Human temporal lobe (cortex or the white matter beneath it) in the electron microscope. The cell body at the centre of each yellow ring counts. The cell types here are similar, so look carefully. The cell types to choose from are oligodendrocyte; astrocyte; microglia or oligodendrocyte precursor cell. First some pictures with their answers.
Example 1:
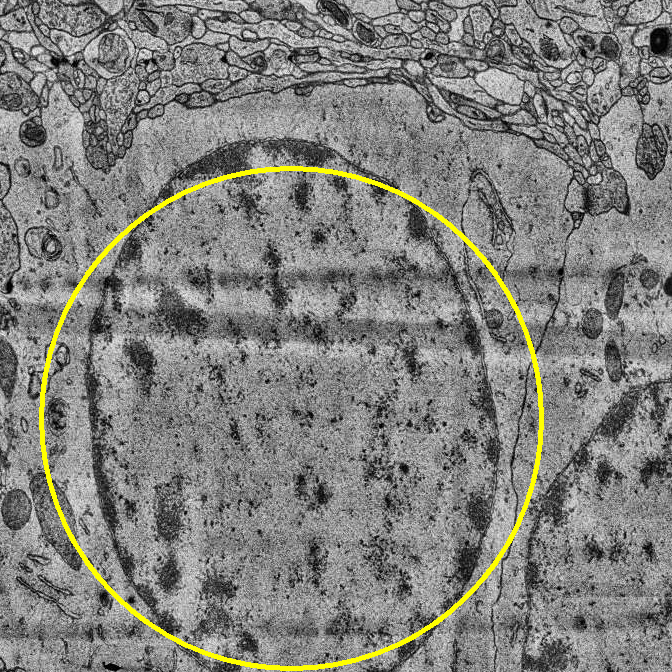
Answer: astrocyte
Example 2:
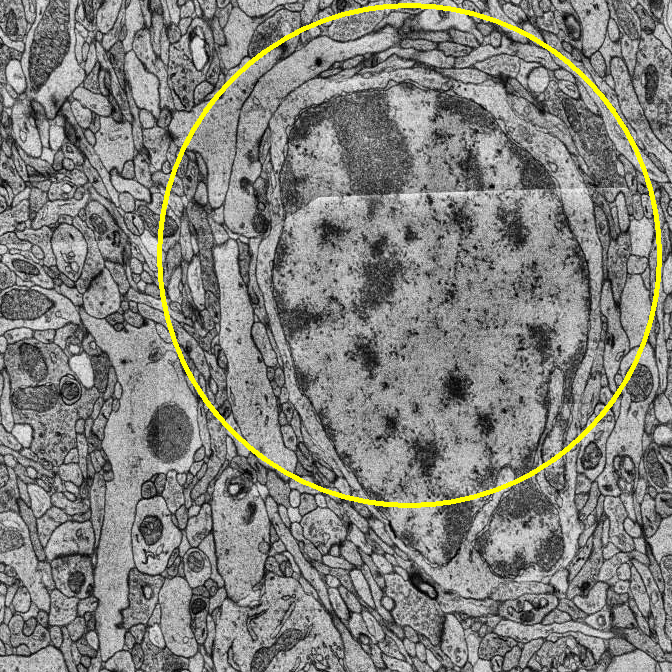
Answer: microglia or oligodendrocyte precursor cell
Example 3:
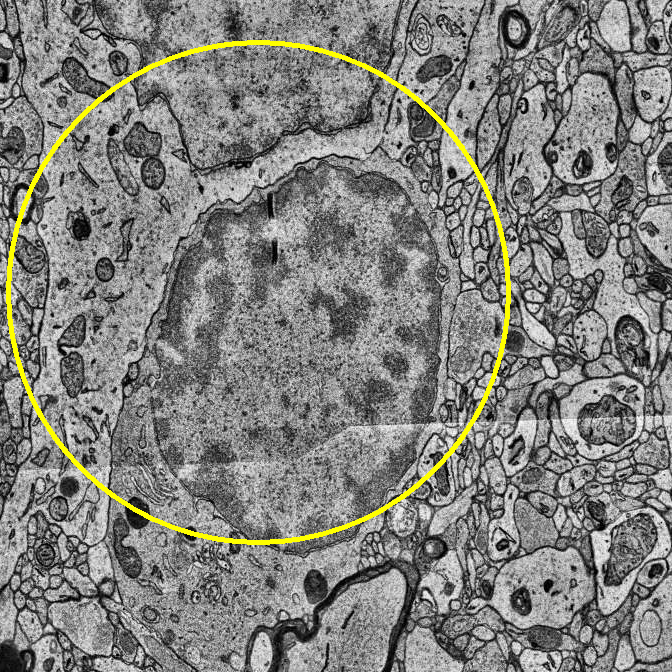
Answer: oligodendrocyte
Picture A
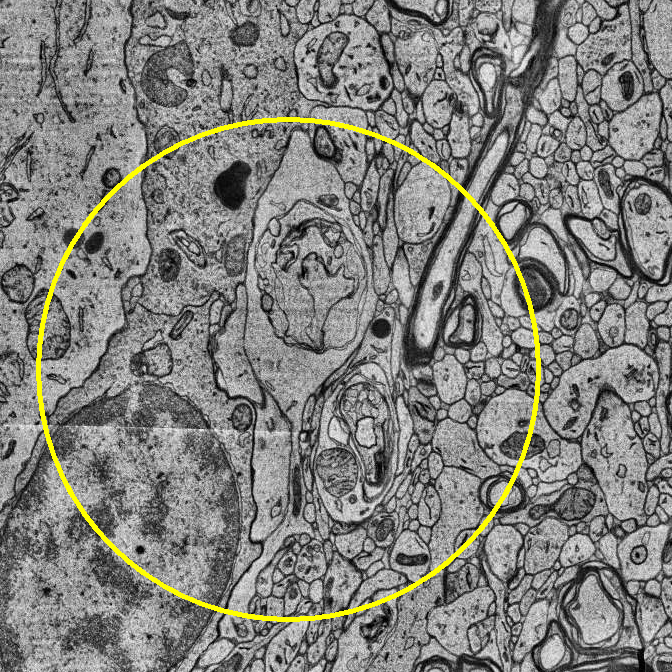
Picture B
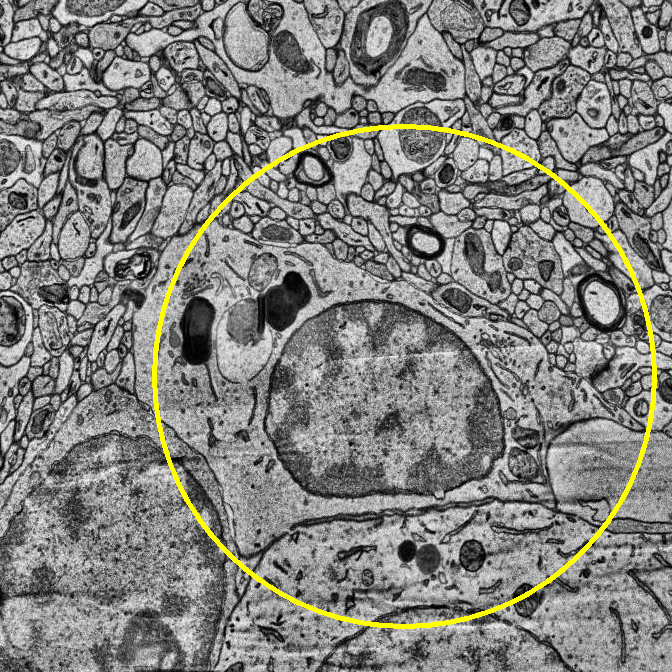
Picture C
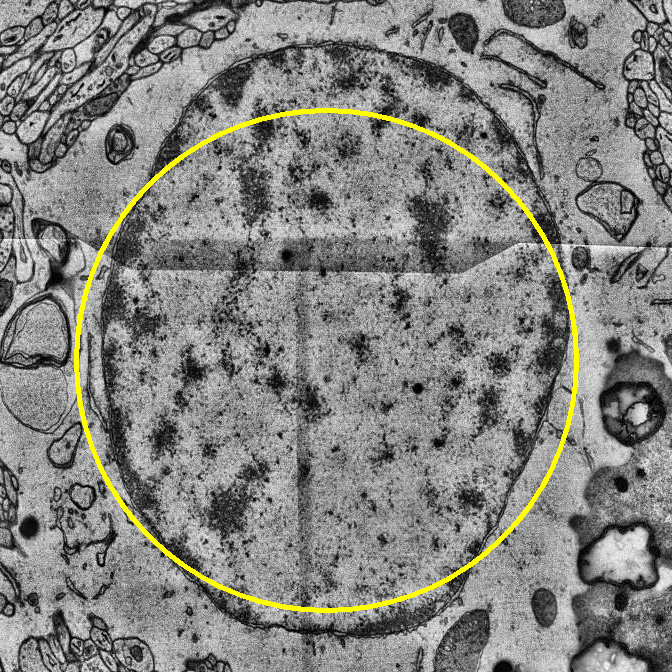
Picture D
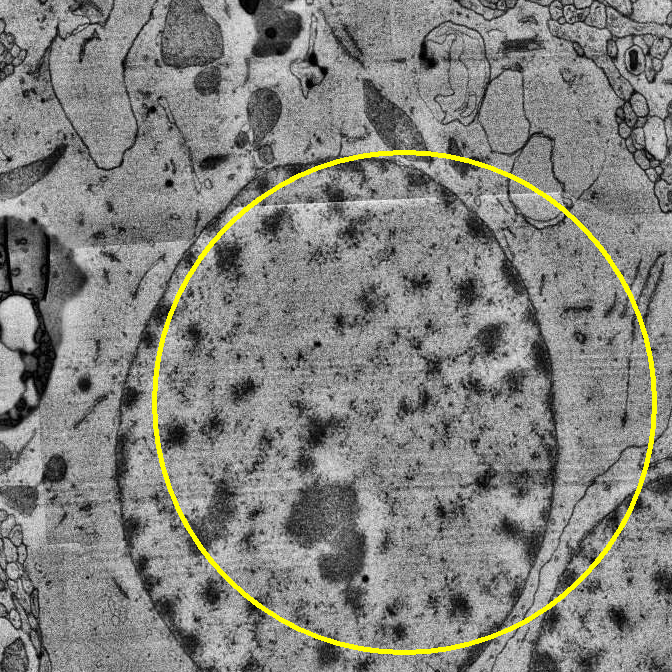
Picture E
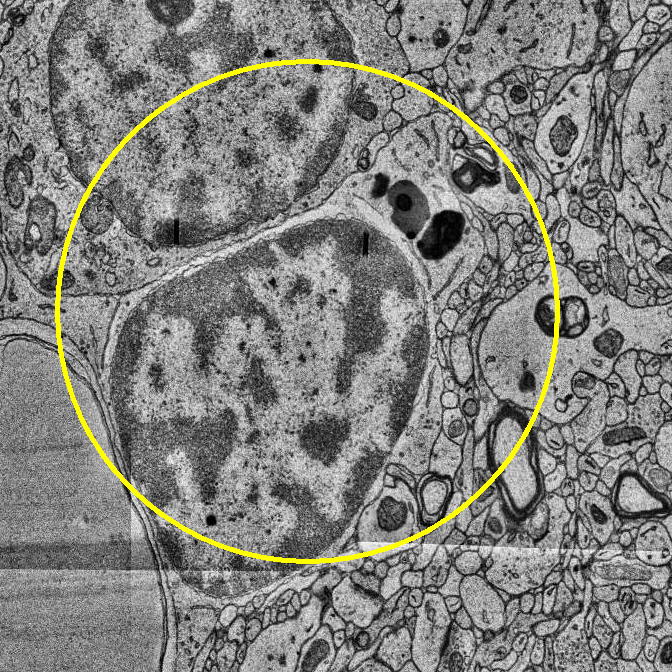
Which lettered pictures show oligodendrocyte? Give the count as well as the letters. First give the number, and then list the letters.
0, none of them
